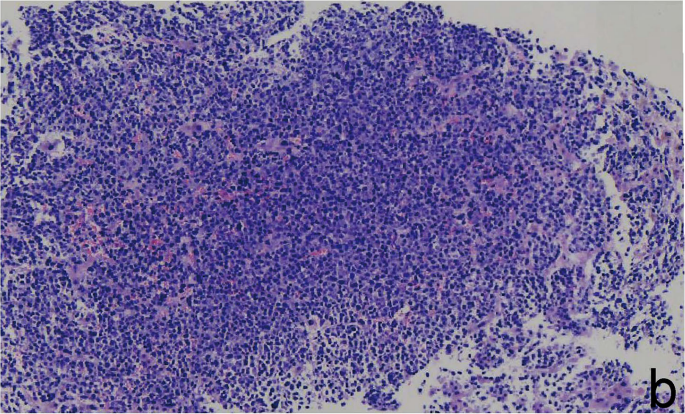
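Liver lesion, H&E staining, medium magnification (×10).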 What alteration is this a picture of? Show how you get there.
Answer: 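Diffuse sheet-like infiltration of tumor cells. Densely packed cells with dark round nuclei fill most of the field. The cells form a continuous sheet with no glandular or cord-like arrangement. Only scattered thin pink strands lie between them.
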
